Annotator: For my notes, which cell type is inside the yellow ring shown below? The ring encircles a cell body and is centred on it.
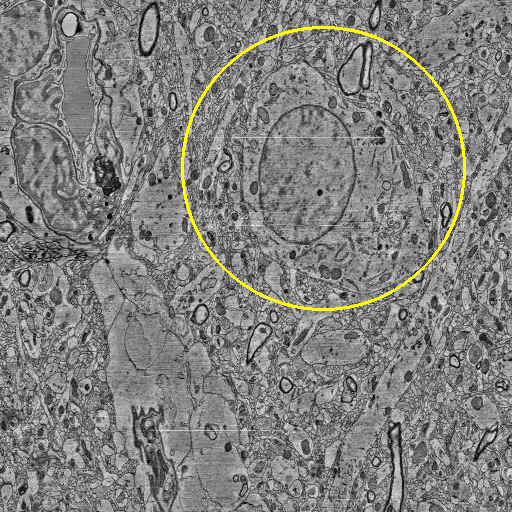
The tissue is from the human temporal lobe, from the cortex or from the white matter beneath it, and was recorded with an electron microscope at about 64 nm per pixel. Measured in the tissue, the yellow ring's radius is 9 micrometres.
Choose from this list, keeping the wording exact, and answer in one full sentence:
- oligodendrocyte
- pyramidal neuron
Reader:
At the centre of the yellow ring there is a pyramidal neuron, as shown in the picture.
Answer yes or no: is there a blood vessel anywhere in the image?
Yes, there is a blood vessel.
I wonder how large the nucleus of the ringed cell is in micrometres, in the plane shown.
Roughly 9 by 6 micrometres is the size of the nucleus in this plane.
